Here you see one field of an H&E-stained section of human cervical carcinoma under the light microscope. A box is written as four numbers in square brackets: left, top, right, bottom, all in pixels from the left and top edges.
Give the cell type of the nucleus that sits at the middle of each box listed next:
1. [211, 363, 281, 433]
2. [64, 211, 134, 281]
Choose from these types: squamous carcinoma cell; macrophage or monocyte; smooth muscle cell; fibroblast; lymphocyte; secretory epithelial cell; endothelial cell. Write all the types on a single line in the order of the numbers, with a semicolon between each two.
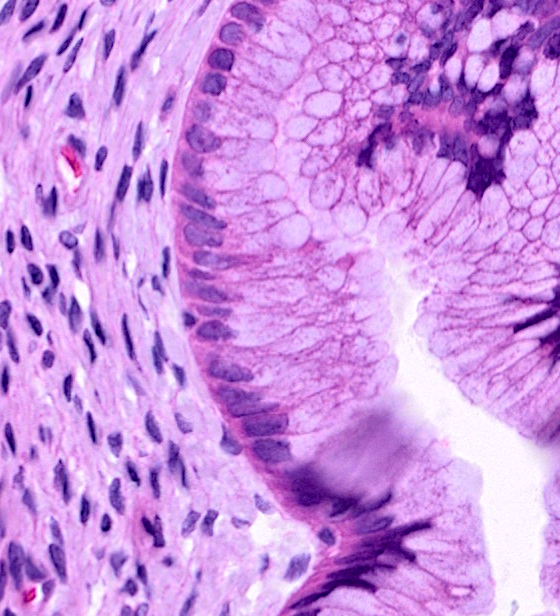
secretory epithelial cell; fibroblast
